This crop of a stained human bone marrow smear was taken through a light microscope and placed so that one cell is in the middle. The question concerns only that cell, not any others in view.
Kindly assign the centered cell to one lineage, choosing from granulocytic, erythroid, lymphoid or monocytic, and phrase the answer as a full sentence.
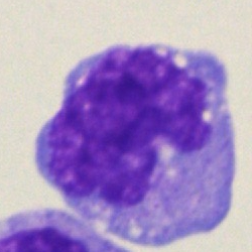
Counted among cells of the monocytic lineage is the central cell.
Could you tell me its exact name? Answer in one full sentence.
By type, the central cell of the crop is a monocyte.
